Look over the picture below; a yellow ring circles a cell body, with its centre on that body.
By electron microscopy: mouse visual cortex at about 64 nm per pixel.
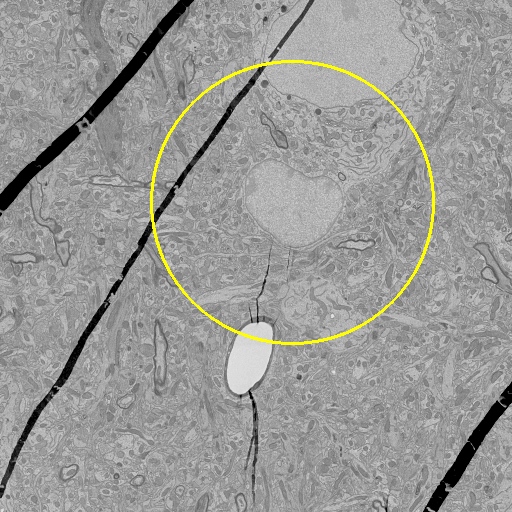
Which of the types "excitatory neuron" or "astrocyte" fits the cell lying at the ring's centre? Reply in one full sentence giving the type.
The picture shows an astrocyte at the centre of the yellow ring.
